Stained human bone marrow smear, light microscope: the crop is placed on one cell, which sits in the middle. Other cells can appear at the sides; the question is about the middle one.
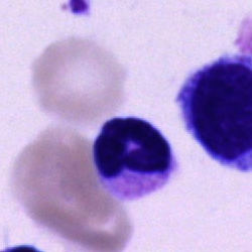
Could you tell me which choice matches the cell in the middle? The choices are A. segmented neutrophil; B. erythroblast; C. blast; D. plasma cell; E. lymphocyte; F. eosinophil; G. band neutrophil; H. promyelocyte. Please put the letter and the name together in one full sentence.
Option A is correct, naming the cell in the middle as a segmented neutrophil.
